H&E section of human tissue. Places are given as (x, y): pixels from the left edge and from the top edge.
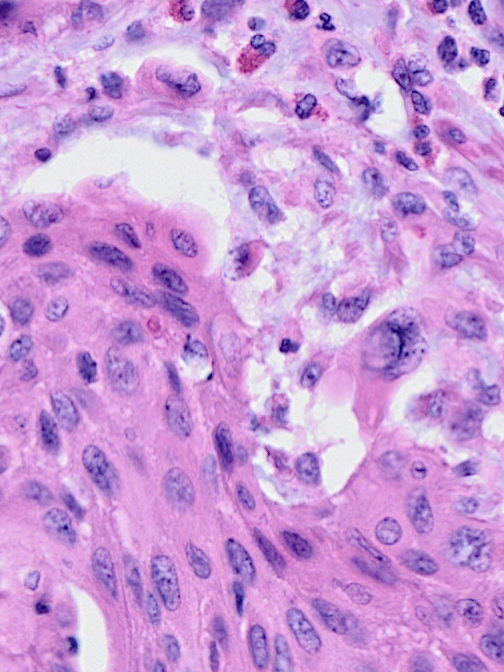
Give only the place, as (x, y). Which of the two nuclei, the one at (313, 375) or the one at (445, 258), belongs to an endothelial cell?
(445, 258)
